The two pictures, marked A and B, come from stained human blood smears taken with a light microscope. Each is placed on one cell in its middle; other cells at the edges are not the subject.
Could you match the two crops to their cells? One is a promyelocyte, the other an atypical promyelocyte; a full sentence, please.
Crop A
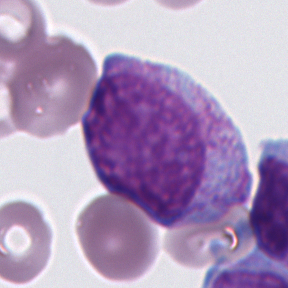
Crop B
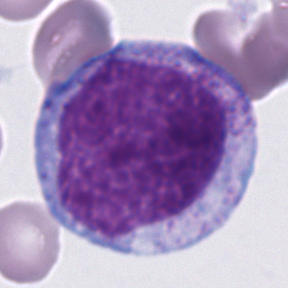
The cell of interest in crop A is an atypical promyelocyte, and in crop B it is a promyelocyte.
